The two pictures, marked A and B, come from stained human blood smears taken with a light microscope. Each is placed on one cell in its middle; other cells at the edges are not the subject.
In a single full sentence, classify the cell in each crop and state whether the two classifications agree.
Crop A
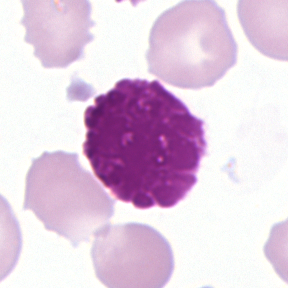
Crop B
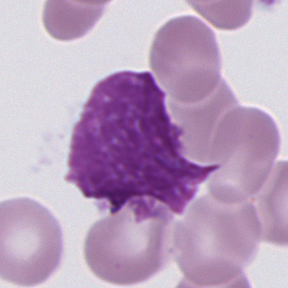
Yes, both crops show smudge cells in their central position.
